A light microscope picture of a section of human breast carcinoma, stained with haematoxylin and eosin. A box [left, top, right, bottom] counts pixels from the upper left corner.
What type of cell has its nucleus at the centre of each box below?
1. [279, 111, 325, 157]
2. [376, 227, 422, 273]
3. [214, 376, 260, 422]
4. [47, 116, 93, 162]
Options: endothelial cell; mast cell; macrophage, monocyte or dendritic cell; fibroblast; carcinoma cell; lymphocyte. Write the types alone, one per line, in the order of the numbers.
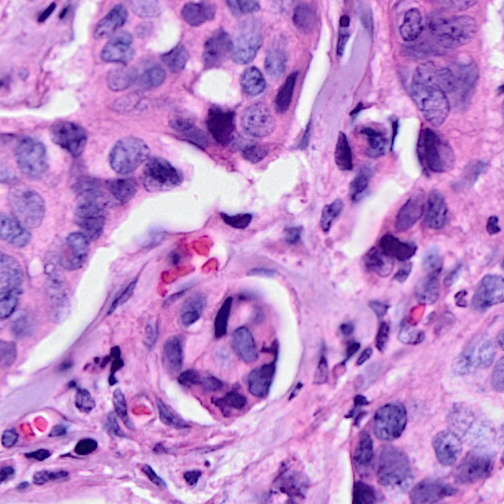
fibroblast
carcinoma cell
carcinoma cell
carcinoma cell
